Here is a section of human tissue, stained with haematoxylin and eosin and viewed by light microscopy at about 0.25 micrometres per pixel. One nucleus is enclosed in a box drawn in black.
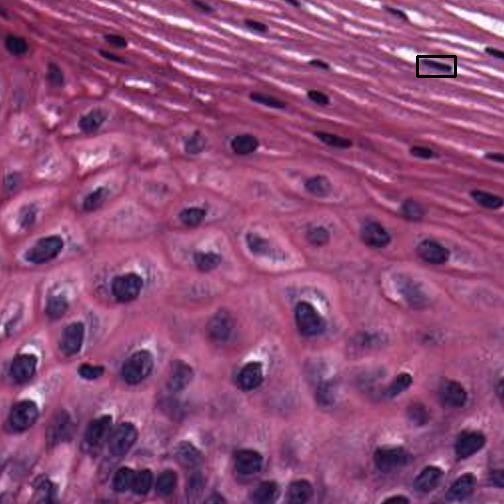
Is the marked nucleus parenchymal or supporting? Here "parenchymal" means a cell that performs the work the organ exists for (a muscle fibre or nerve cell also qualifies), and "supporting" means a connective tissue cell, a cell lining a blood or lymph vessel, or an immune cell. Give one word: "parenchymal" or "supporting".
parenchymal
